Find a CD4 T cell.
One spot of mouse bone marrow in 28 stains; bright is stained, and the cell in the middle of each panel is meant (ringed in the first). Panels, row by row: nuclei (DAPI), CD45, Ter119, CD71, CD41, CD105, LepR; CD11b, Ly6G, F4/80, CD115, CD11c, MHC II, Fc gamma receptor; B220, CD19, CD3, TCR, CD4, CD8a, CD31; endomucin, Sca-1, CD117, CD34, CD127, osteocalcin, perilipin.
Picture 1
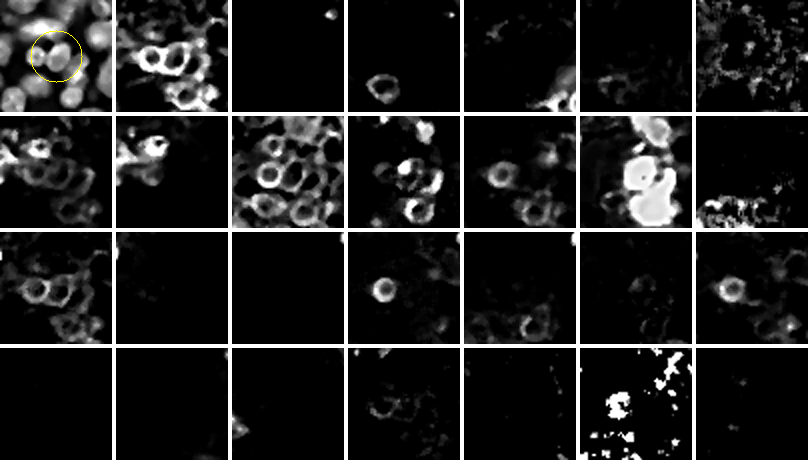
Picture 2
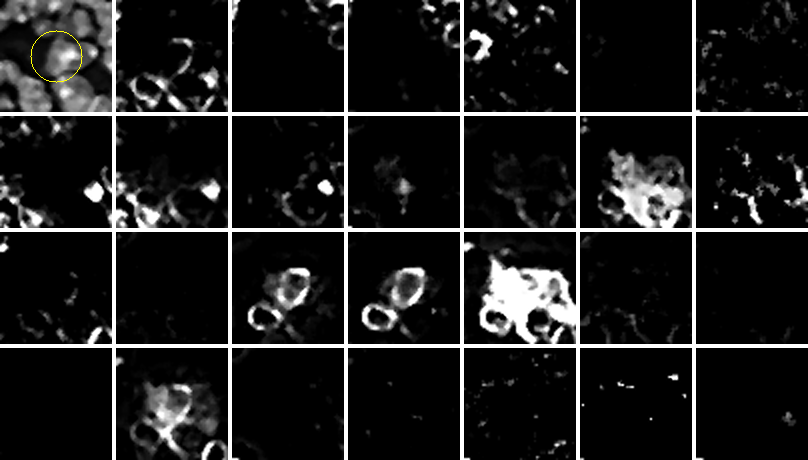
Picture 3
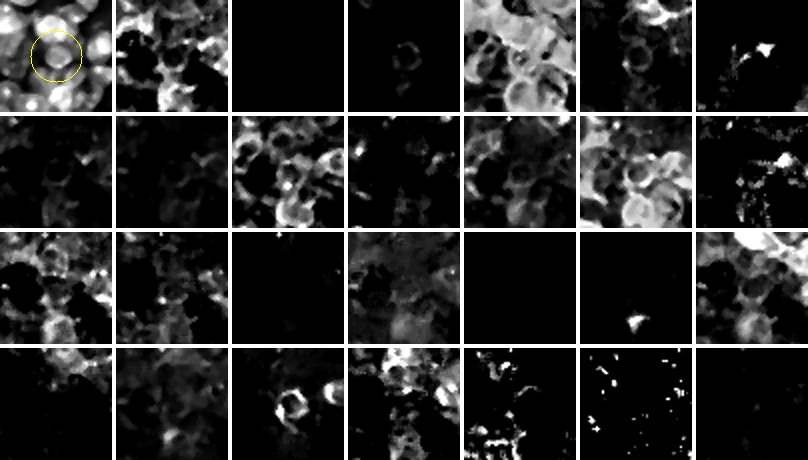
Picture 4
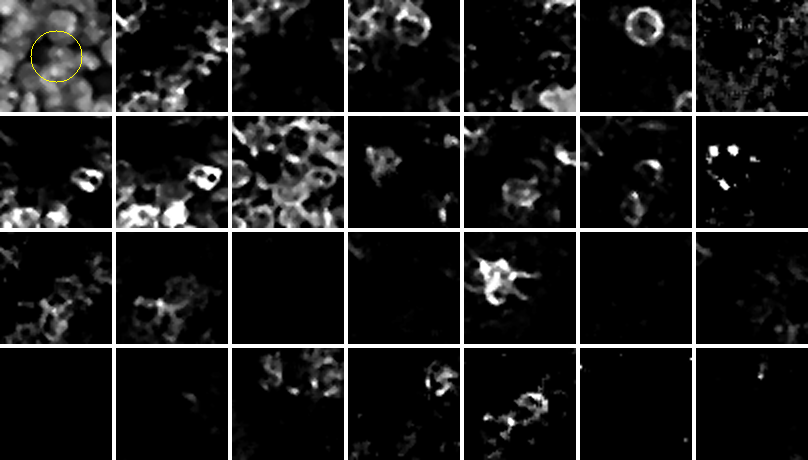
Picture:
2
